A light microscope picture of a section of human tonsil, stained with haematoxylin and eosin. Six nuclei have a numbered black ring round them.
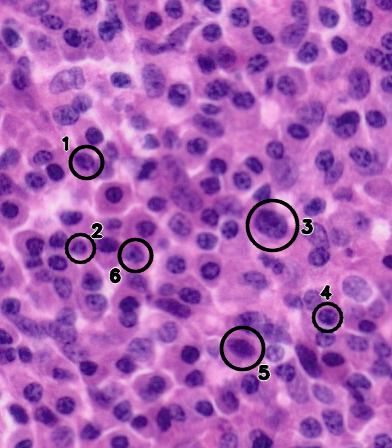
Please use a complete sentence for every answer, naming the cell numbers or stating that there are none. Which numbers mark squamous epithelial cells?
In this section, the cells numbered 3 and 5 are squamous epithelial cells.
